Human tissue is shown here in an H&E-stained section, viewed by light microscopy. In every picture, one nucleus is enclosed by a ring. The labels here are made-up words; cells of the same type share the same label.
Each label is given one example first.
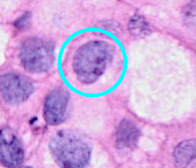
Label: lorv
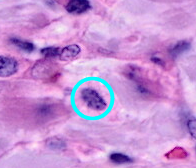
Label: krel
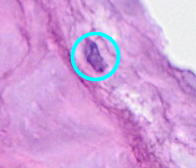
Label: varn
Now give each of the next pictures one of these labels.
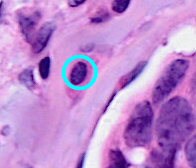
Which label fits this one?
krel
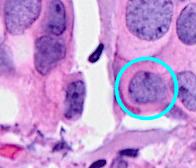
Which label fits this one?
lorv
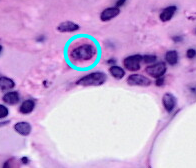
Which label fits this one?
krel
